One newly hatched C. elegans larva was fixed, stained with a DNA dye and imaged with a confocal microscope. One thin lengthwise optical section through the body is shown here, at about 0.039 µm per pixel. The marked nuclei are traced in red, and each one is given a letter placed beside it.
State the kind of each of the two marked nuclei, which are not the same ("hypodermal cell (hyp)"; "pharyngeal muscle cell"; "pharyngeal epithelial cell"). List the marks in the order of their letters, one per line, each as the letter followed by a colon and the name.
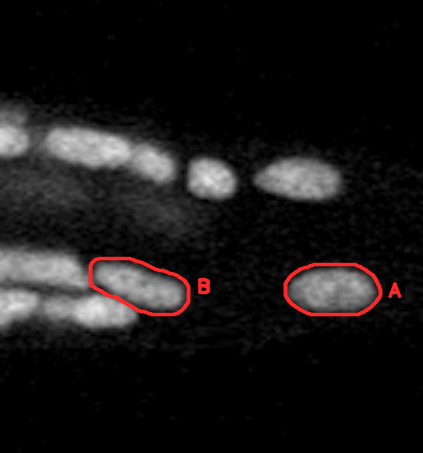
A: hypodermal cell (hyp)
B: pharyngeal epithelial cell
